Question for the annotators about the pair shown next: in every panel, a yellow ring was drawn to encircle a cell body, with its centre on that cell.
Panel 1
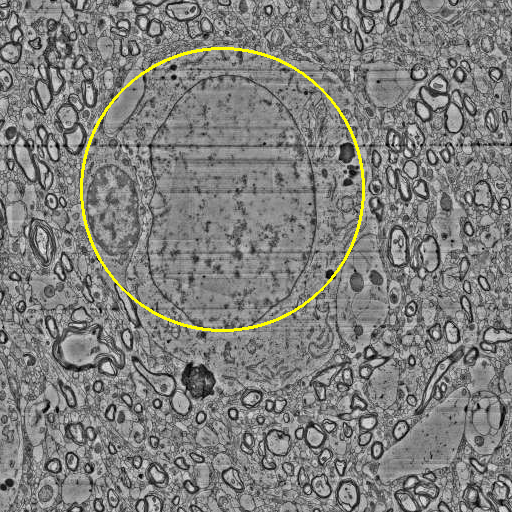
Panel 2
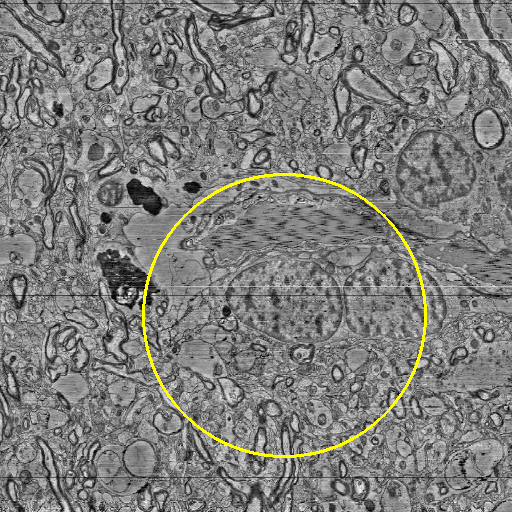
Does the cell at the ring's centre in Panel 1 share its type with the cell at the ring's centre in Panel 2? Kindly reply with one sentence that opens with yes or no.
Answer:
No, in Panels 1 and 2 the cells at the ring centres belong to separate types.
